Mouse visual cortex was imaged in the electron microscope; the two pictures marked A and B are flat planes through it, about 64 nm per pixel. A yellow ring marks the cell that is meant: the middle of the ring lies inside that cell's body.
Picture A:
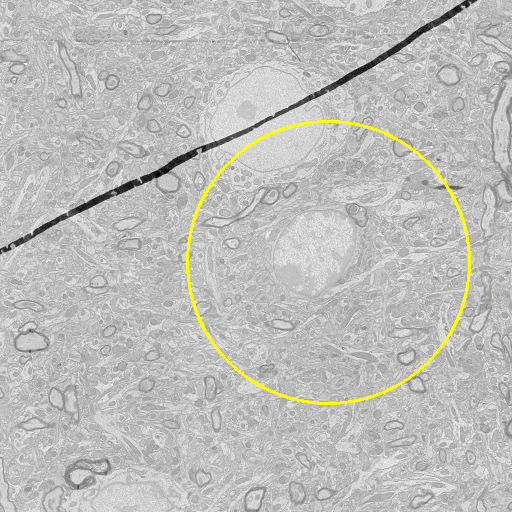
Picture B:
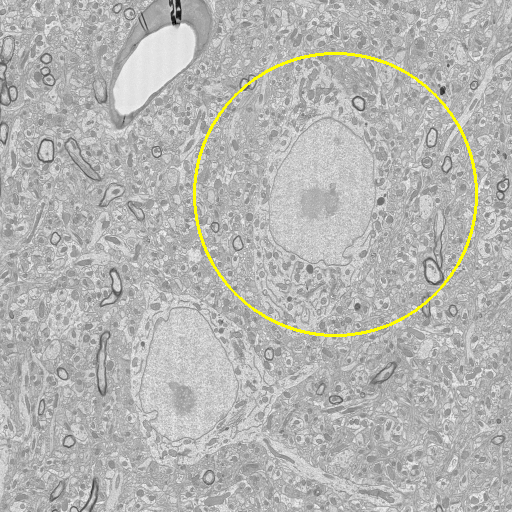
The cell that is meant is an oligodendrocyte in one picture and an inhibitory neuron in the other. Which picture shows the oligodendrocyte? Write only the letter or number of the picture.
A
